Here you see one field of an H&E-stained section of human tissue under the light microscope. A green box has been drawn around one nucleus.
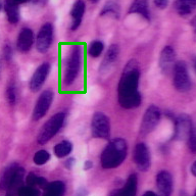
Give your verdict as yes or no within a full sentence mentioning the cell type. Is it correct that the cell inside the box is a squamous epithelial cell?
Yes, that the cell inside the box is a squamous epithelial cell is correct.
